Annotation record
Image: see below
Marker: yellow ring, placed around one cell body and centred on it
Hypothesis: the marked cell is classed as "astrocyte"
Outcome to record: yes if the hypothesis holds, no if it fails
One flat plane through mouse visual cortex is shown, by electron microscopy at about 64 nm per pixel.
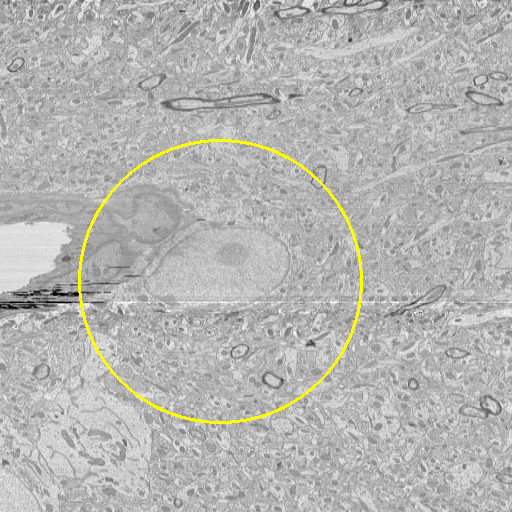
yes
